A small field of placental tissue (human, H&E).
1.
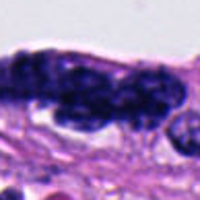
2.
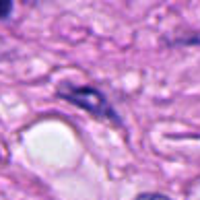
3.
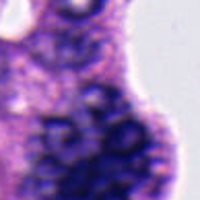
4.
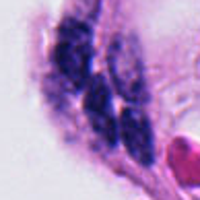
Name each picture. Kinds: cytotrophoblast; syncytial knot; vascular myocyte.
1: syncytial knot
2: vascular myocyte
3: syncytial knot
4: cytotrophoblast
